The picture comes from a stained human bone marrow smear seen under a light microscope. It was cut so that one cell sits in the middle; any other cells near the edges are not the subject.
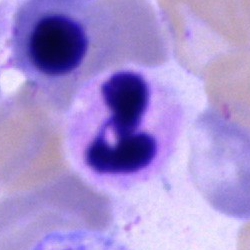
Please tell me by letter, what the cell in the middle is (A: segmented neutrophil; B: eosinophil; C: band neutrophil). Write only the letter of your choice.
A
